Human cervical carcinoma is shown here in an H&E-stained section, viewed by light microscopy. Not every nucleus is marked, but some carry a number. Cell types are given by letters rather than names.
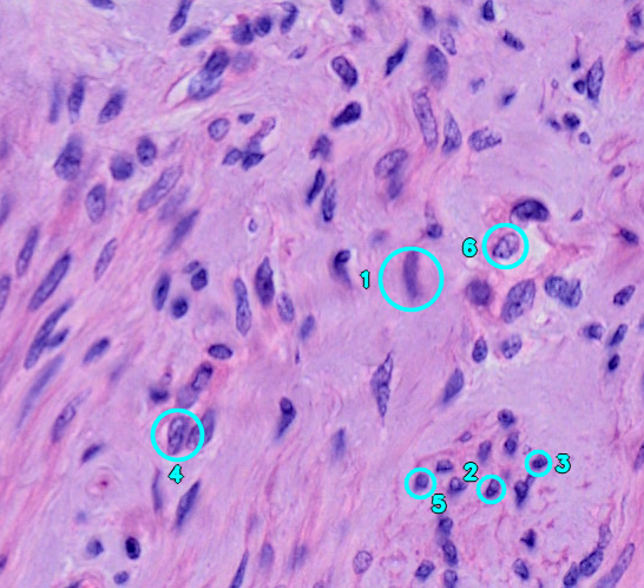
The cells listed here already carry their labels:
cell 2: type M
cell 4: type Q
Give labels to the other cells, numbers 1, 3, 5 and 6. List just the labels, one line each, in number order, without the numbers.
type M
type M
type M
type Q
